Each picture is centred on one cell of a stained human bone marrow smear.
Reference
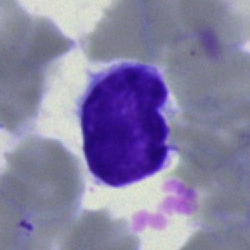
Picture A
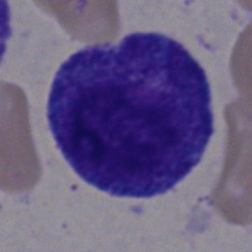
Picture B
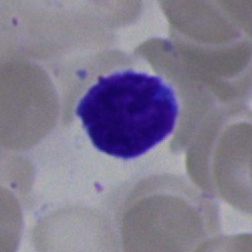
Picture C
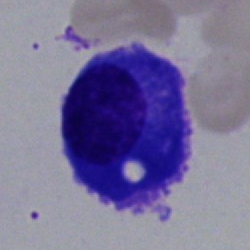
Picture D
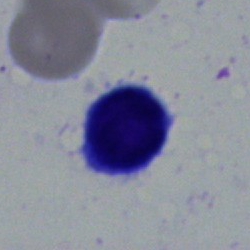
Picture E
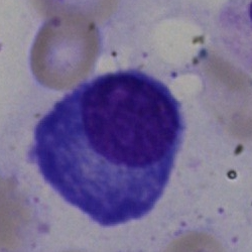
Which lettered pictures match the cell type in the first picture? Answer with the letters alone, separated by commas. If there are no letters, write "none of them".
B, D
